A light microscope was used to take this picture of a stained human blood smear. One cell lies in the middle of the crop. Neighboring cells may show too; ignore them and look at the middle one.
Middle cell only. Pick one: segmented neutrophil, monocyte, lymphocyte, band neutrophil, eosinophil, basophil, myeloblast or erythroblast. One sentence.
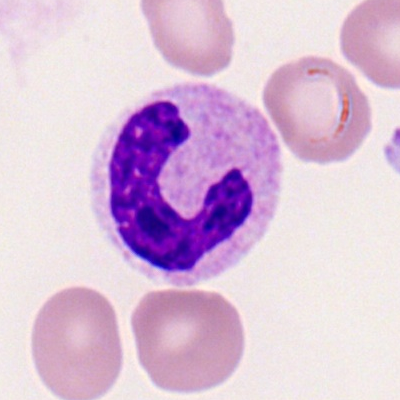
Whatever else lies nearby, the middle cell is a band neutrophil.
